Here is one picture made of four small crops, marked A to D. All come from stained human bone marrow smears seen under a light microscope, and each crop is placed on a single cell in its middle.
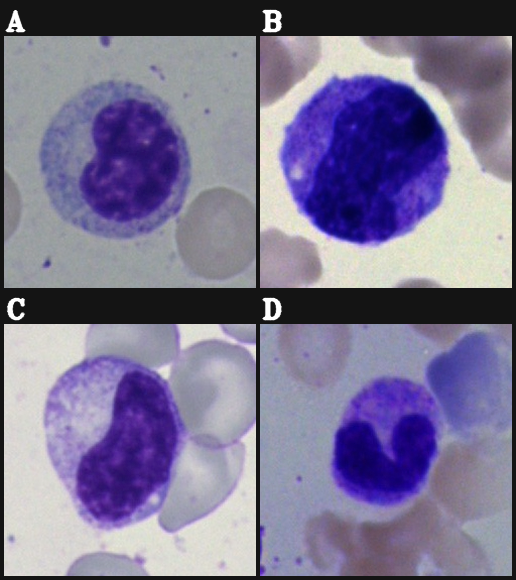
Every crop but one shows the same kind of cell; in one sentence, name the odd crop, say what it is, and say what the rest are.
Crop D is singled out as a band neutrophil, and all of the other crops show metamyelocytes.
